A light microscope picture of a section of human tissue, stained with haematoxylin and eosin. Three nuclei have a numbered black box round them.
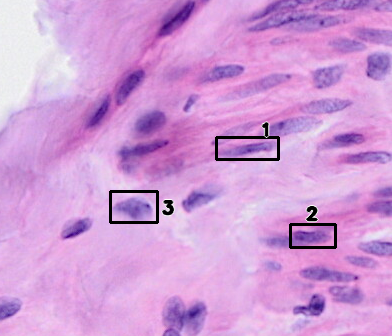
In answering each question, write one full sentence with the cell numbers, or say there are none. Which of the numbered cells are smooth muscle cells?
The cells 1 and 2 in this section are smooth muscle cells.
